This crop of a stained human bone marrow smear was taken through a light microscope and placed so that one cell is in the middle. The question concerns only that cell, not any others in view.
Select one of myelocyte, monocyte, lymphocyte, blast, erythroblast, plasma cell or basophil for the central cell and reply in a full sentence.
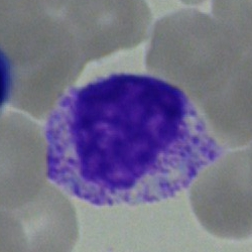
Seen at the centre of the crop is a myelocyte.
